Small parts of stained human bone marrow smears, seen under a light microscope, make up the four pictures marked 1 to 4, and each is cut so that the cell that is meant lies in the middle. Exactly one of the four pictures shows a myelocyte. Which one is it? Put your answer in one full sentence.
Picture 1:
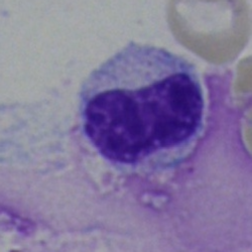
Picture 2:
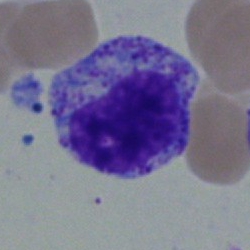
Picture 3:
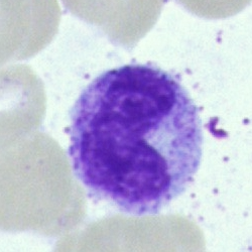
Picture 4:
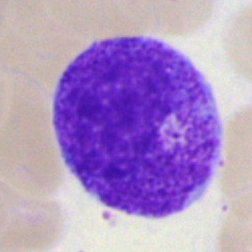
Picture 2 shows the myelocyte.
